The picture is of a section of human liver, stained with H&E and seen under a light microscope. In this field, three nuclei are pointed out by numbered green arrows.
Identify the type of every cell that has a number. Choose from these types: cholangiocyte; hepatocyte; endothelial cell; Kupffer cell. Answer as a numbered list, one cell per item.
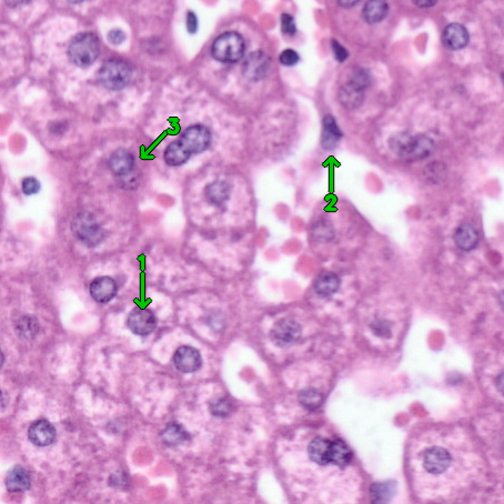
1. hepatocyte
2. Kupffer cell
3. hepatocyte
